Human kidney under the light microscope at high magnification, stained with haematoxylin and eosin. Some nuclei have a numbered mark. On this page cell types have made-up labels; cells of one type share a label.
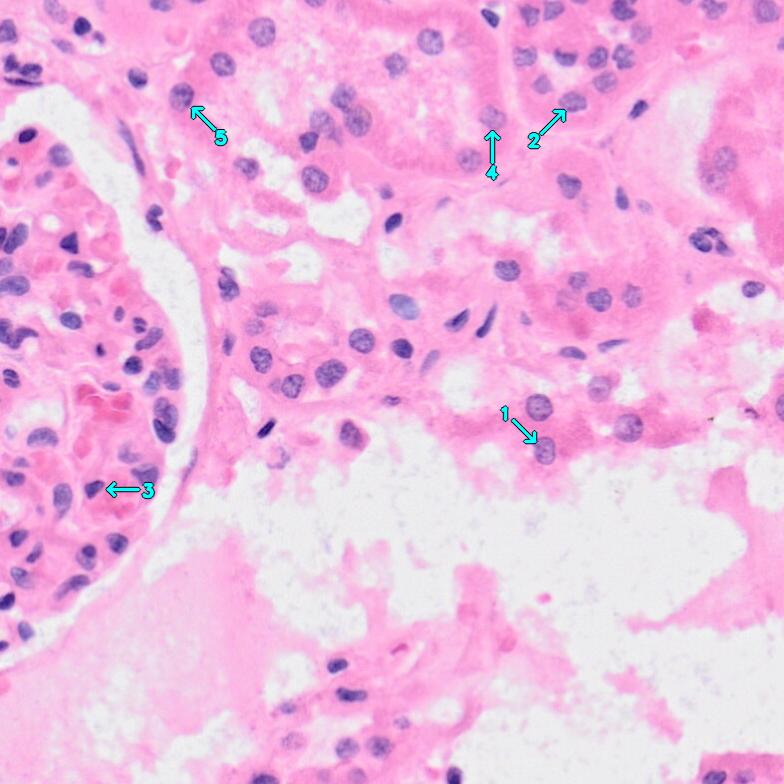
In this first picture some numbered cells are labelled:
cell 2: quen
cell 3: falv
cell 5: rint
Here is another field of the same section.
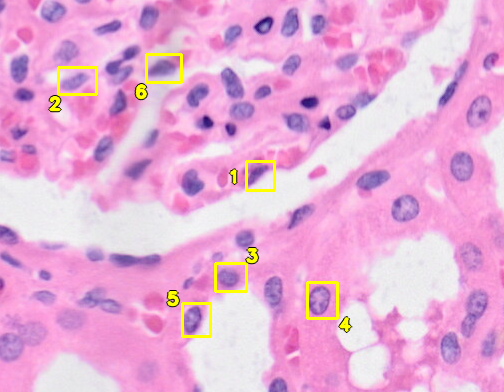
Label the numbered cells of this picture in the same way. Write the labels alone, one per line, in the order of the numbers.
falv
falv
quen
rint
quen
falv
